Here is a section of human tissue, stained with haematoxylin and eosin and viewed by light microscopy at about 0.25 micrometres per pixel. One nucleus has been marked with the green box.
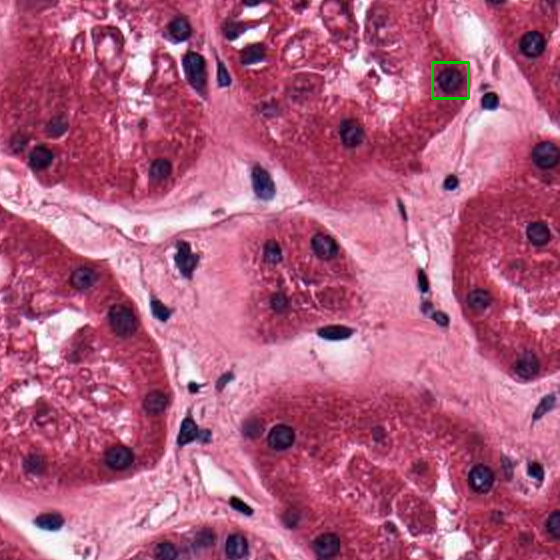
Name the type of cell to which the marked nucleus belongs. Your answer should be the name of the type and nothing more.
proximal tubule cell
